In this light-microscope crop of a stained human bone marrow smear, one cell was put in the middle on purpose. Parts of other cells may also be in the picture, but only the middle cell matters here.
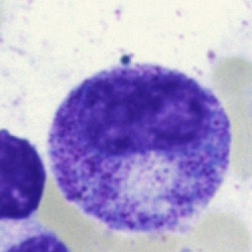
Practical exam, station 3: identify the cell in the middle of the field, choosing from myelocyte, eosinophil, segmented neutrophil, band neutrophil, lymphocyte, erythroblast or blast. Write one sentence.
In the central position of this crop, the cell is a myelocyte.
